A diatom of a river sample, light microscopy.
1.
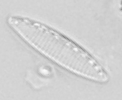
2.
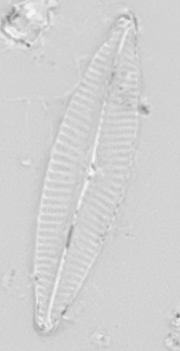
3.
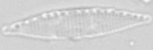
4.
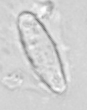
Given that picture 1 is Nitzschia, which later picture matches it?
3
